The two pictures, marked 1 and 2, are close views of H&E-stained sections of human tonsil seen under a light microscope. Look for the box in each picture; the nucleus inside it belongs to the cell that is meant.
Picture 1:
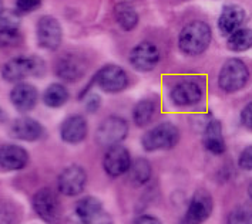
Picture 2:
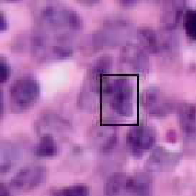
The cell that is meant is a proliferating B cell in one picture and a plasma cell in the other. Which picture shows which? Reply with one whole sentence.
Picture 2 shows a proliferating B cell, while picture 1 shows a plasma cell.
